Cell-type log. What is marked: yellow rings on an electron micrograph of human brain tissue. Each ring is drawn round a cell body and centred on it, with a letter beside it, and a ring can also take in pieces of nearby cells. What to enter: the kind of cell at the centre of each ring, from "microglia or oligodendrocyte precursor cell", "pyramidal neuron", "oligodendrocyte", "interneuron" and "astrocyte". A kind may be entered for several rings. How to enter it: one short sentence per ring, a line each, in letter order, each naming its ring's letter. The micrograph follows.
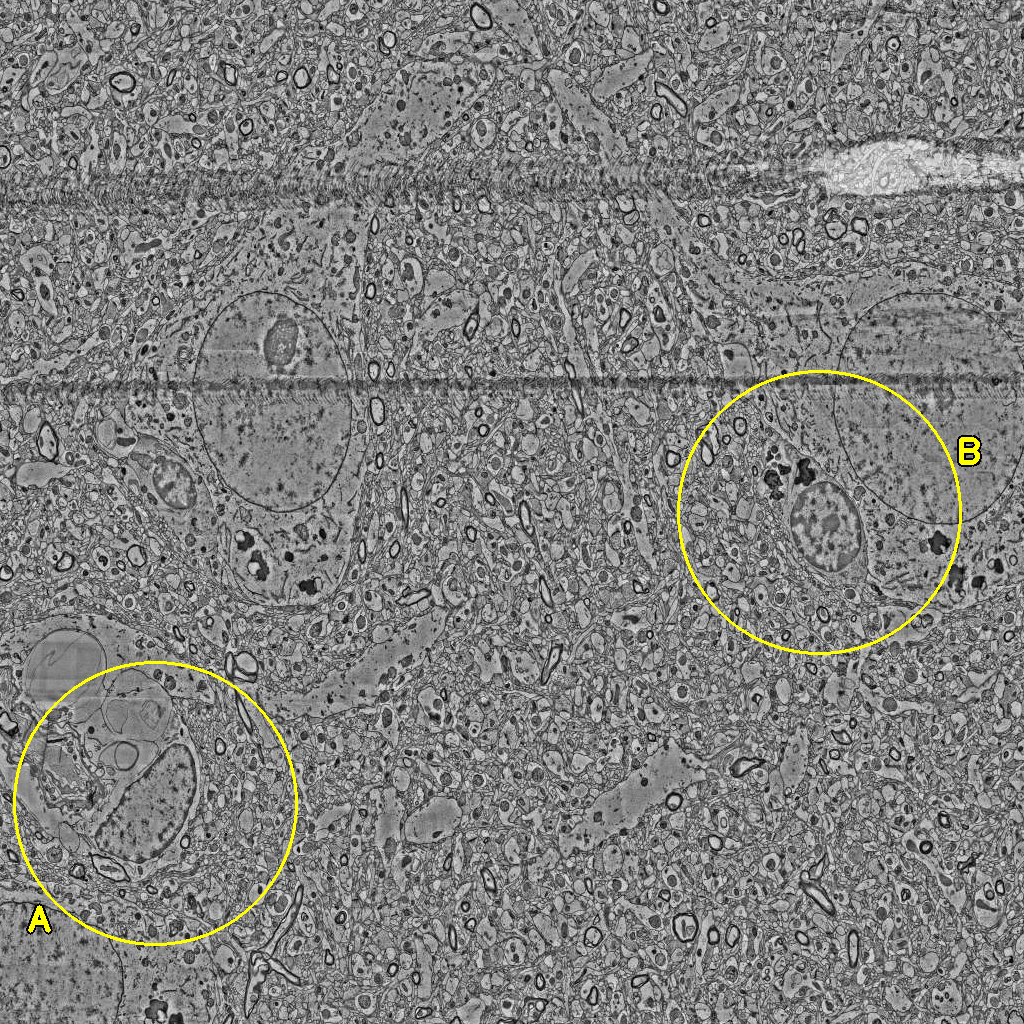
For ring A, the centre cell is a microglial cell or oligodendrocyte precursor cell.
For ring B, the centre cell is an oligodendrocyte.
